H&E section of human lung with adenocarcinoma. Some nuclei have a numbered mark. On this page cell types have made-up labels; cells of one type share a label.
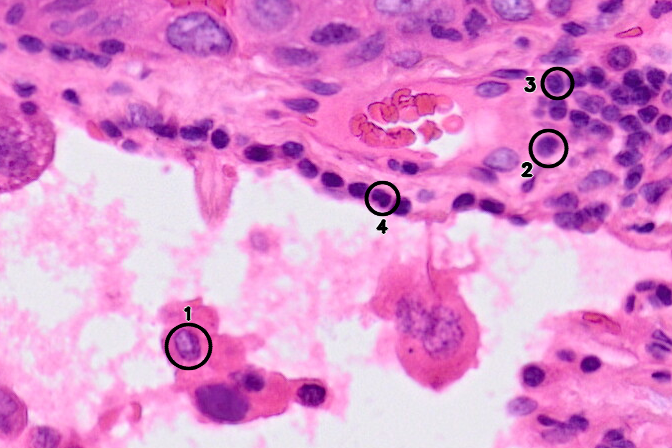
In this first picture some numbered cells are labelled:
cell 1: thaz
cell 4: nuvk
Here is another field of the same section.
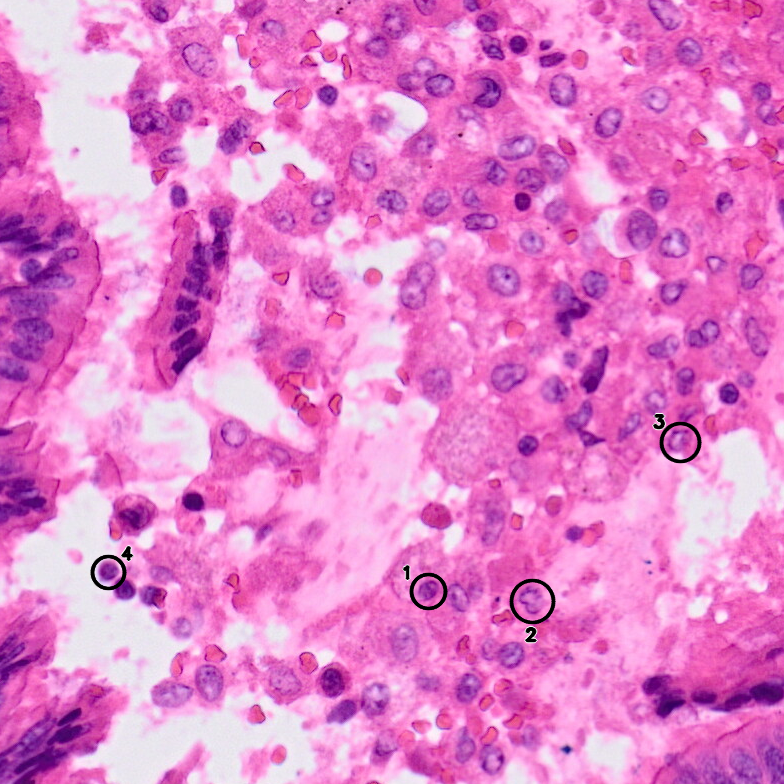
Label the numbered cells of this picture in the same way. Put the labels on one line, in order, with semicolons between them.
thaz; thaz; thaz; nuvk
